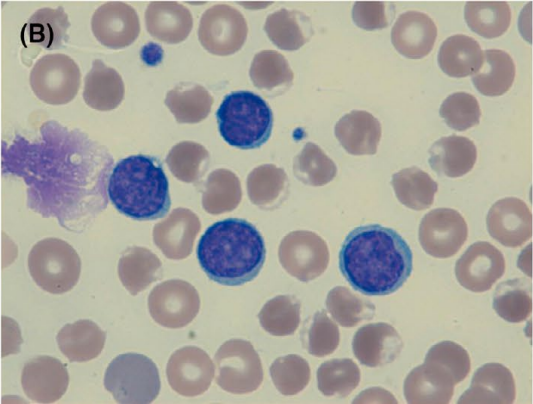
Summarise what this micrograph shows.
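This blood smear shows several small, mature-looking lymphocytes lying among red blood cells. Each lymphocyte is round and only a little larger than a red cell. A round nucleus with coarse, clumped purple chromatin fills most of each cell, leaving a thin rim of blue cytoplasm. At the left edge lies a smeared, ragged mass of pale purple nuclear material, a lysed cell. The red cells are pink discs, many with a central pallor. Some look irregular, with a pale, uneven part at one side. A few small dark-staining platelets lie between the cells.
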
